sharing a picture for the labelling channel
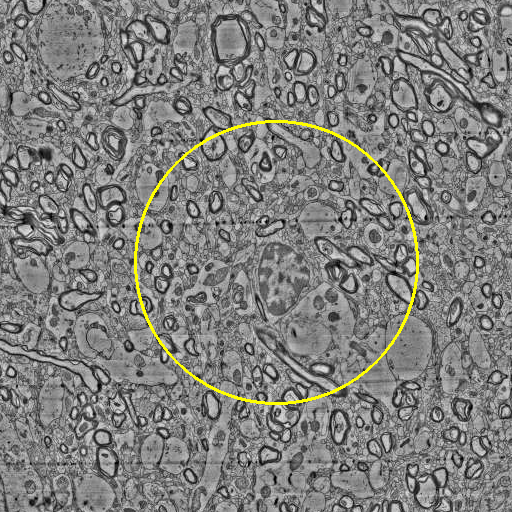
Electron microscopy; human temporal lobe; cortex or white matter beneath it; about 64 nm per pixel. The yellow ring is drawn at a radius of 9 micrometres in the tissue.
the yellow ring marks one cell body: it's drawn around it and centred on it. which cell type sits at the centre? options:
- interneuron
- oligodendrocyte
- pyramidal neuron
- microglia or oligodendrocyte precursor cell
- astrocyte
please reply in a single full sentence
In the picture, the cell at the ring's centre is a microglial cell or oligodendrocyte precursor cell, going by the list.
